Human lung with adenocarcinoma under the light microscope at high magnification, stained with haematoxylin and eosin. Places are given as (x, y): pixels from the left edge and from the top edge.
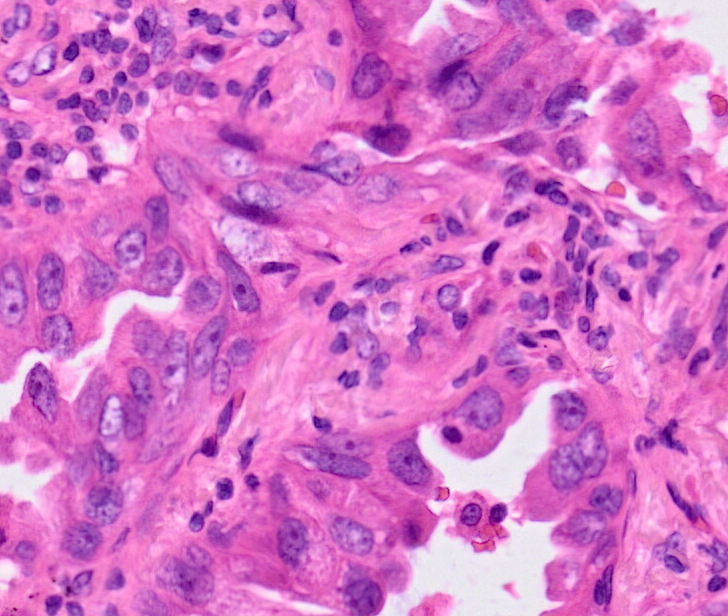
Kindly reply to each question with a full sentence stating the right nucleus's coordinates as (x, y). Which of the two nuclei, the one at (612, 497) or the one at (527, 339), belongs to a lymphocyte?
The nucleus whose cell is a lymphocyte is the one at (527, 339).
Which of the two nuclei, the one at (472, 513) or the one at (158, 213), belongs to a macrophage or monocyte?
The nucleus that belongs to a macrophage or monocyte is located at (472, 513).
